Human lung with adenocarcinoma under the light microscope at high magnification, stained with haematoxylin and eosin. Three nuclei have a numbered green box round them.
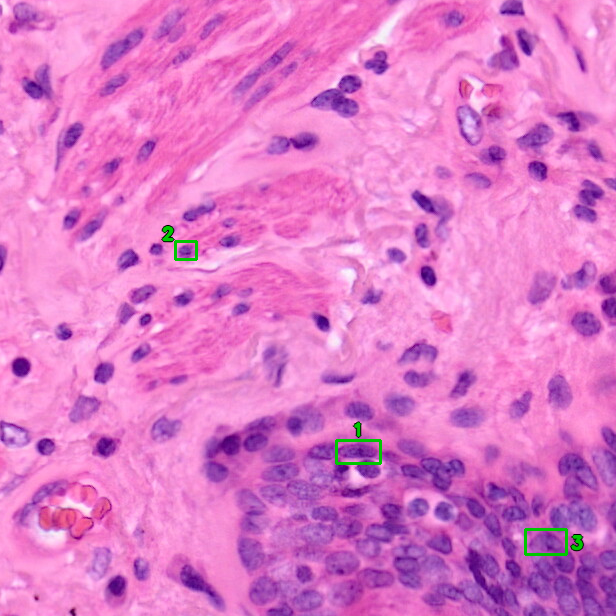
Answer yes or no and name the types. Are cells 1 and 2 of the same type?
No, the cell tagged 1 is a ciliated epithelial cell, whereas the cell tagged 2 is a smooth muscle cell or pericyte.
